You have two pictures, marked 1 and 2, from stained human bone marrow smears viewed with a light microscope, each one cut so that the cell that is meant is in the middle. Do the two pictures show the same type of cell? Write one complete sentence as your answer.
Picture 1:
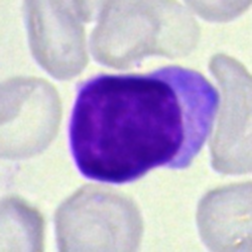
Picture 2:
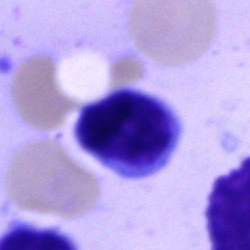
Yes; the cells in both pictures are lymphocytes.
